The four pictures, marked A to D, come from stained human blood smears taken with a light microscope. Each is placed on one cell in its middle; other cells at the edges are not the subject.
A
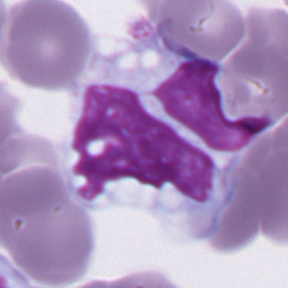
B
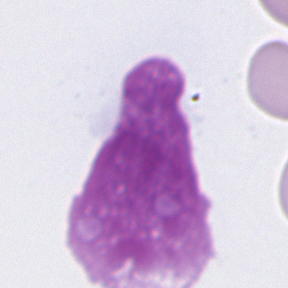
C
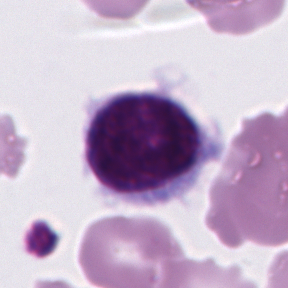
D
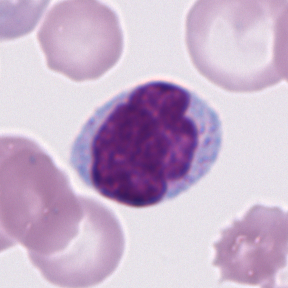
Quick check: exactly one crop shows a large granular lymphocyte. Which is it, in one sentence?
When the crops are compared, crop D is the one showing a large granular lymphocyte.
